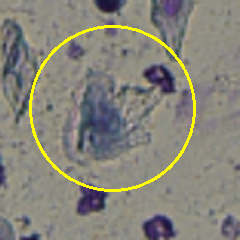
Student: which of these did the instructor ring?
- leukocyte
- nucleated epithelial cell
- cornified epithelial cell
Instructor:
The cell I ringed is a cornified epithelial cell.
